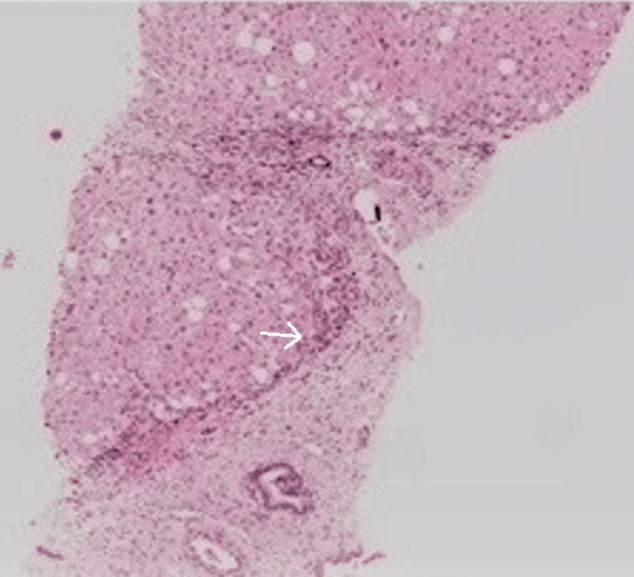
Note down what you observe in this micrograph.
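Here the liver parenchyma of pink hepatocytes with scattered clear fat vacuoles is broken up by curving bands of darker, more cellular tissue. One such fibrotic band wraps around a rounded island of hepatocytes, and below it lies paler, looser tissue containing ducts and vessels, so that the normal lobular layout is distorted.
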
